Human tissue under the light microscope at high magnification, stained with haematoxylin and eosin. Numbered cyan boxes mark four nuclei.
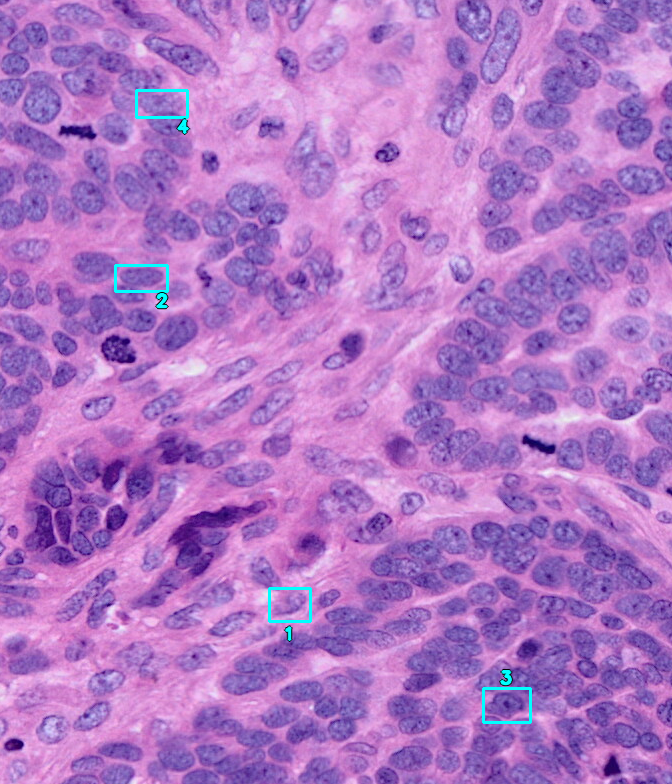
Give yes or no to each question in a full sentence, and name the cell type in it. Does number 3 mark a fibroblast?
No; cell 3 is a carcinoma cell, not a fibroblast.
